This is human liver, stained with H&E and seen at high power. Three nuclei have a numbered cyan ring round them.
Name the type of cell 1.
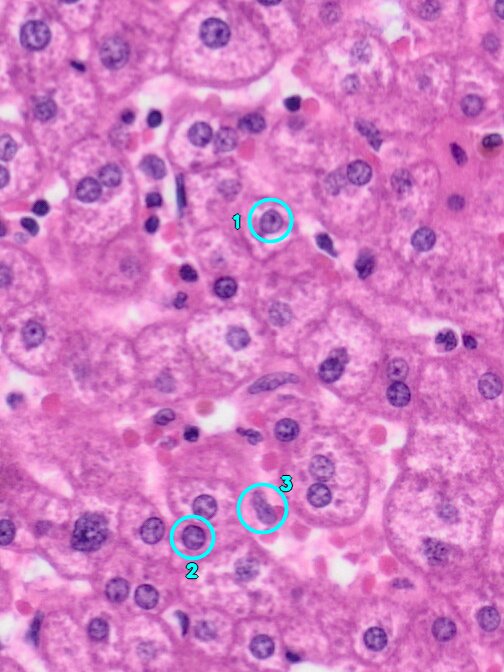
hepatocyte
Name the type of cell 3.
Kupffer cell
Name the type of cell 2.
hepatocyte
